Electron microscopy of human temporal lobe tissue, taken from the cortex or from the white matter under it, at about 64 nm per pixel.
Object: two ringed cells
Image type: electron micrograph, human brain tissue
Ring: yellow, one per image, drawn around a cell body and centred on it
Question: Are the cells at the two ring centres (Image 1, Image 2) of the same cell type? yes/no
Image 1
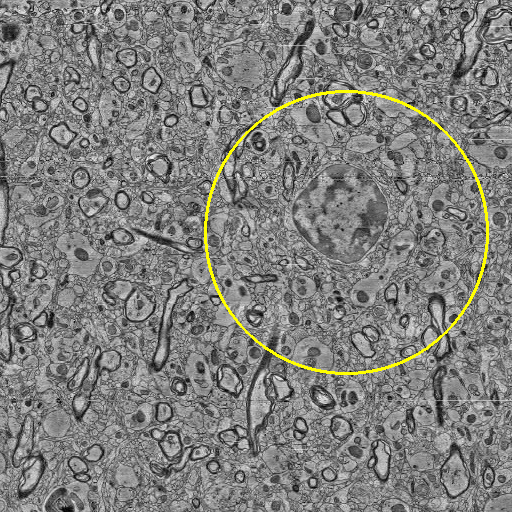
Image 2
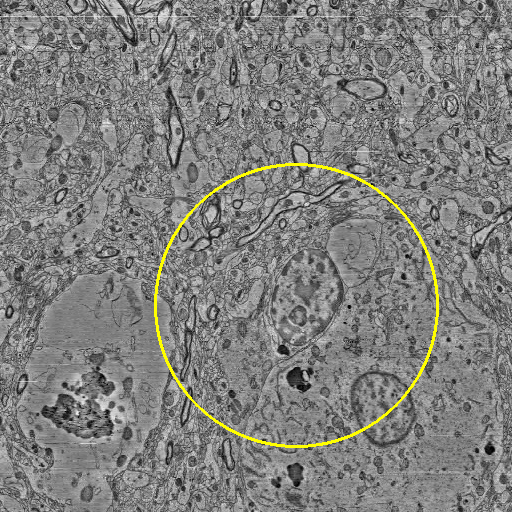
yes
